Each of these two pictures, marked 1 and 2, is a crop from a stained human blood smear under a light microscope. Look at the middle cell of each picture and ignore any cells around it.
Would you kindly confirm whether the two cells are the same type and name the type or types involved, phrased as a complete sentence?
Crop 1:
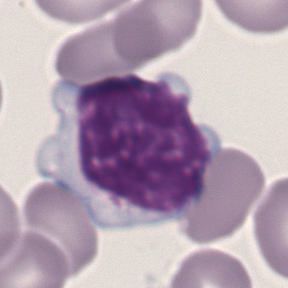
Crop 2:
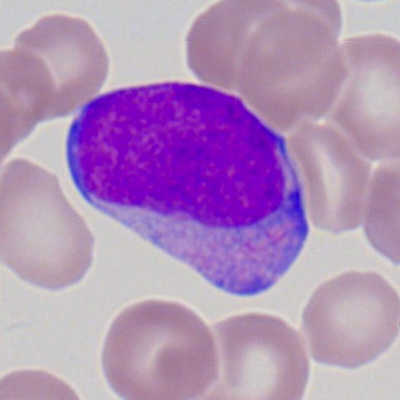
No, a lymphocyte is what crop 1 shows, and a blast is what crop 2 shows.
